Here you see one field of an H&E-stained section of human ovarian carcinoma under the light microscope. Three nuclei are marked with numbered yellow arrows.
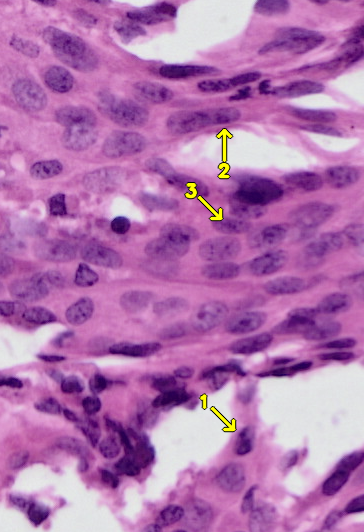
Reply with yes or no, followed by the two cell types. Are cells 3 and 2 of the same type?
Yes, by their numbers, cells 3 and 2 are both carcinoma cells.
